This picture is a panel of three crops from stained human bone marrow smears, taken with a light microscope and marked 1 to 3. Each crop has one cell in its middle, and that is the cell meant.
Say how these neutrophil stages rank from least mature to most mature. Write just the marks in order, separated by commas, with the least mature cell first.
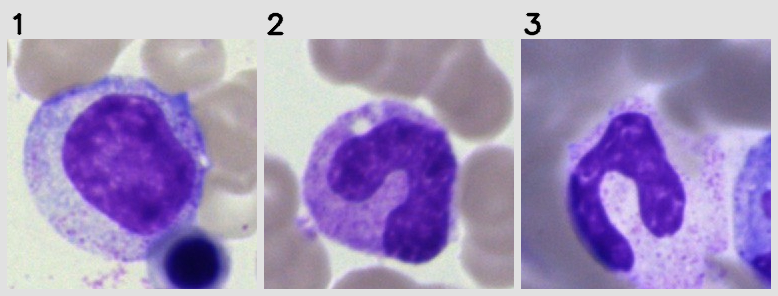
1, 2, 3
